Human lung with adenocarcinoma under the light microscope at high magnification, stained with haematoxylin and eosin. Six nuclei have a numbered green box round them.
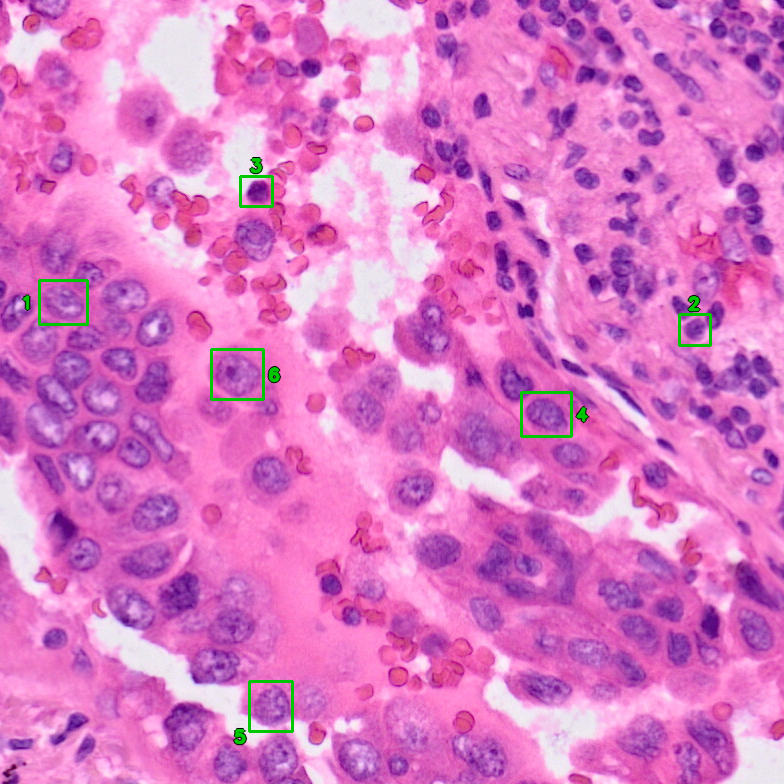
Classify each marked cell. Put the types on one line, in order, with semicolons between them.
carcinoma cell; lymphocyte; lymphocyte; carcinoma cell; carcinoma cell; carcinoma cell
